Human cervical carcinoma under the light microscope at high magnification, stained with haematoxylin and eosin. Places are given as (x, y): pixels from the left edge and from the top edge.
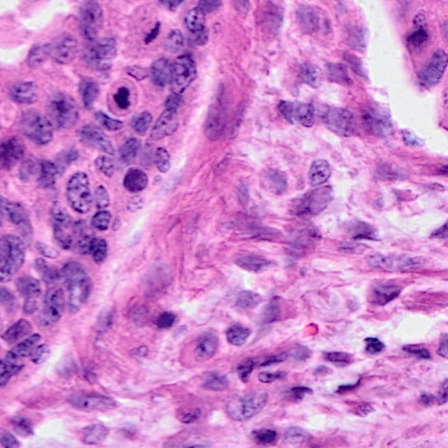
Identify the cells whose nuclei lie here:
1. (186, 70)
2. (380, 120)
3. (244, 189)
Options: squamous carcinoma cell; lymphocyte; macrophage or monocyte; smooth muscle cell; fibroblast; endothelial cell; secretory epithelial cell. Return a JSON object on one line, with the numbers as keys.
{"1": "squamous carcinoma cell", "2": "fibroblast", "3": "fibroblast"}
